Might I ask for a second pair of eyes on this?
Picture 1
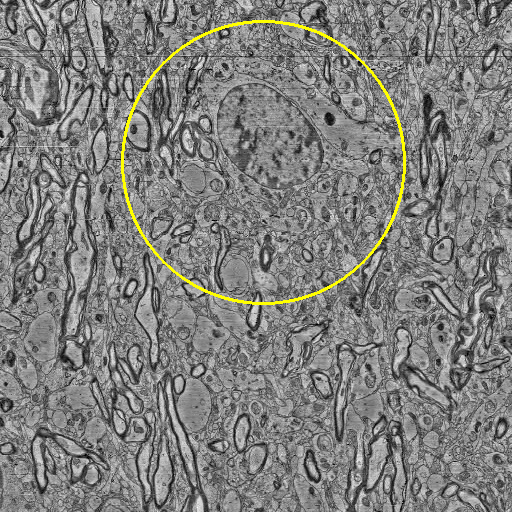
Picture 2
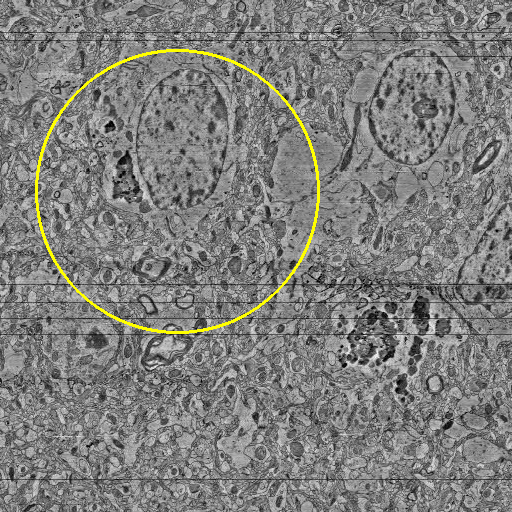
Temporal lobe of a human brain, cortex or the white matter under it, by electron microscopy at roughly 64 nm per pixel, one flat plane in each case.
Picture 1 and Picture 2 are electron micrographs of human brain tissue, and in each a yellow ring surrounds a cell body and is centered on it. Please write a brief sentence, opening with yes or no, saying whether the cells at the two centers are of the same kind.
No, the cells are of two kinds.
